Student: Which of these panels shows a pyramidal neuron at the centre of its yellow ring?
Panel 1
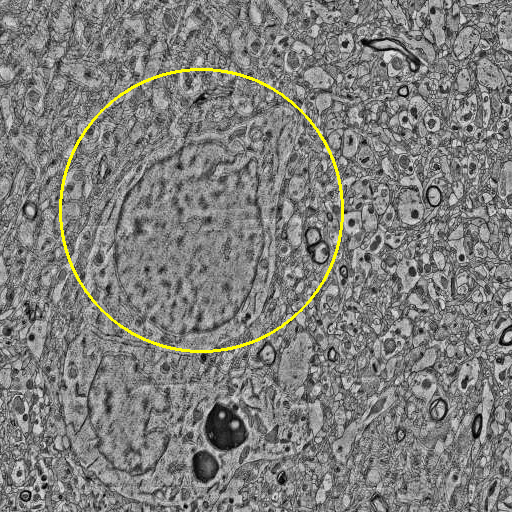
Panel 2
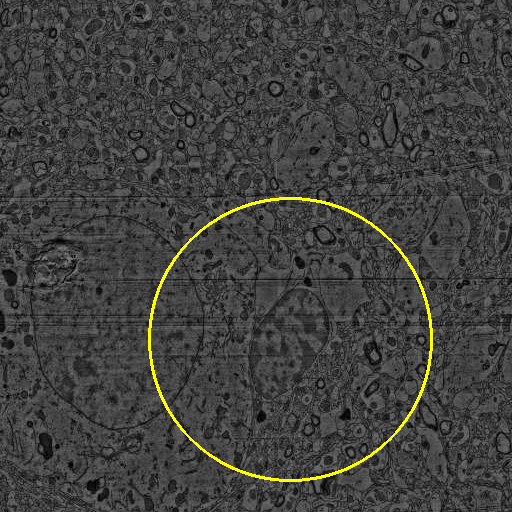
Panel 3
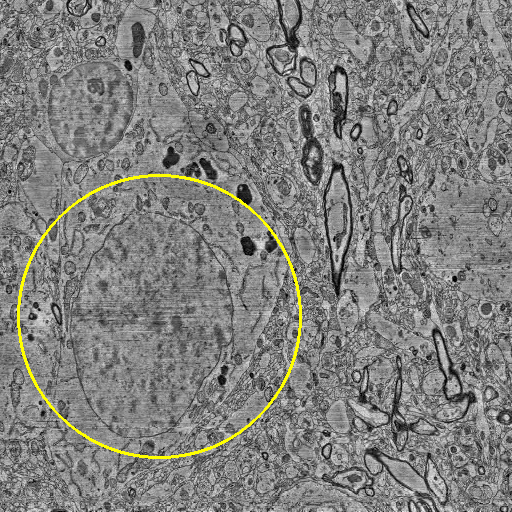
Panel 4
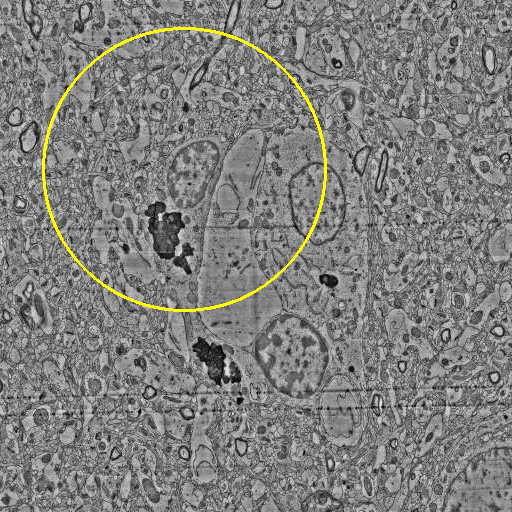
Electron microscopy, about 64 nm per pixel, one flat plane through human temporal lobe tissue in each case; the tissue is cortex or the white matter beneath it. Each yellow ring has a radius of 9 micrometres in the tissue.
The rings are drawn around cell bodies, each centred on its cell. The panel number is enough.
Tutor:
3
